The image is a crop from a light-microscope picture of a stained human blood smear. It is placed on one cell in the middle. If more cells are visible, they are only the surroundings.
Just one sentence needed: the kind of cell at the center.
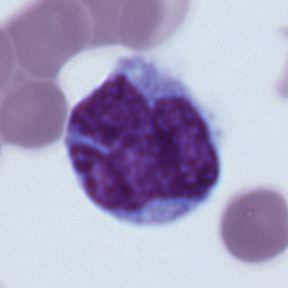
The center cell of this crop is a monocyte.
